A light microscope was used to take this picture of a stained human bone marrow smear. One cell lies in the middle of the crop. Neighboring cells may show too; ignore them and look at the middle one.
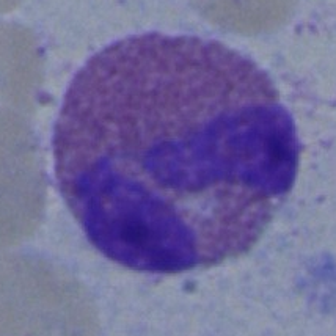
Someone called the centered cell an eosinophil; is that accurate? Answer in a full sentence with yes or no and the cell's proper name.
Yes, the cell of interest in the centre is an eosinophil.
